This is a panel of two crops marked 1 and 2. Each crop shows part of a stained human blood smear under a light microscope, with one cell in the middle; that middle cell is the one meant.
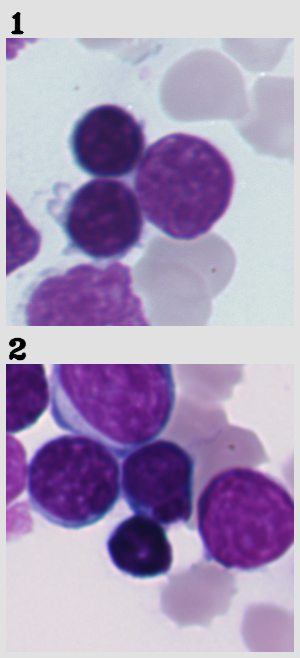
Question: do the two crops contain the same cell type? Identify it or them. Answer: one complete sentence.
Yes, the cells at the centre of both crops are myeloblasts.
